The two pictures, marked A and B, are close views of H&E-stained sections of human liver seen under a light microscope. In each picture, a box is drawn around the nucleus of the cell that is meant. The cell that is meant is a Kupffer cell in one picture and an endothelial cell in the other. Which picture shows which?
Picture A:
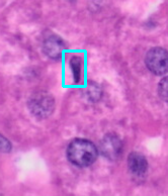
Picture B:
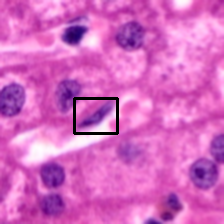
A: endothelial cell
B: Kupffer cell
